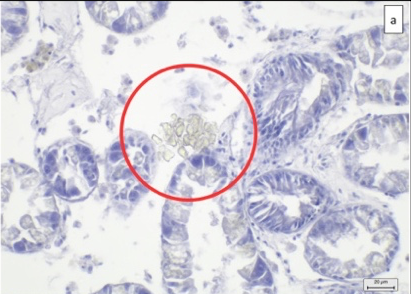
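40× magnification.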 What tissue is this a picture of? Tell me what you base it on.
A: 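Blue nuclei sit toward the base of the lining cells. Loose tissue with scattered cells lies between the tubules.
Conclusion: Digestive glands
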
